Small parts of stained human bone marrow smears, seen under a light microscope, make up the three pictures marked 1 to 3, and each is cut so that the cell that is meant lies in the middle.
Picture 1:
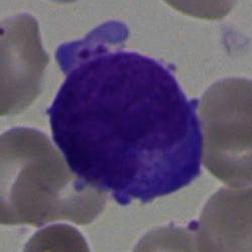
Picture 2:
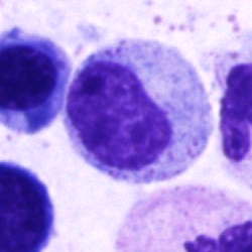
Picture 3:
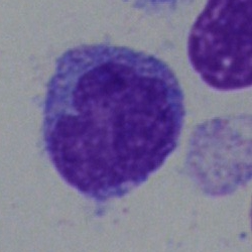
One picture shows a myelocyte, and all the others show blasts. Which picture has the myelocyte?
2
